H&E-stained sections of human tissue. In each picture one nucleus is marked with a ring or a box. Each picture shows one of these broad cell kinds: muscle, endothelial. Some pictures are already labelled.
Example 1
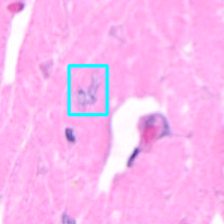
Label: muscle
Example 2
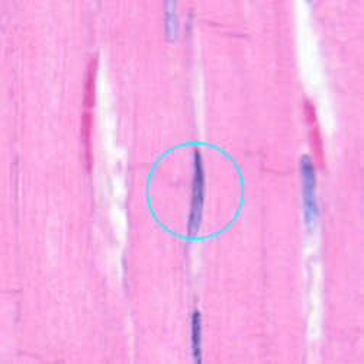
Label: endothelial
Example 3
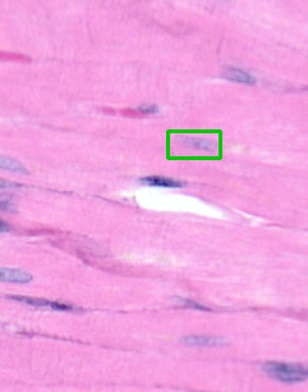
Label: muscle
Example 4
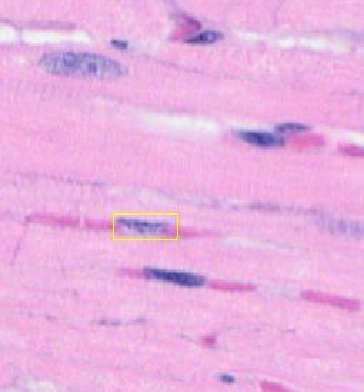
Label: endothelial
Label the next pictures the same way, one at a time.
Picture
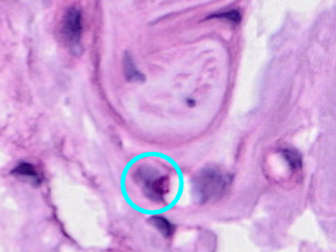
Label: endothelial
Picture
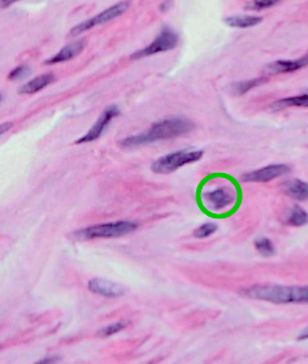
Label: muscle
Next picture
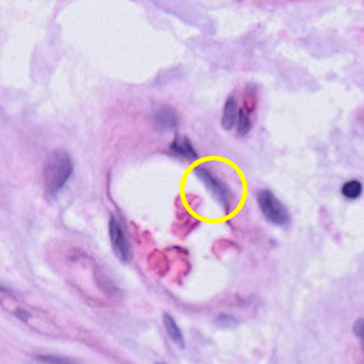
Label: endothelial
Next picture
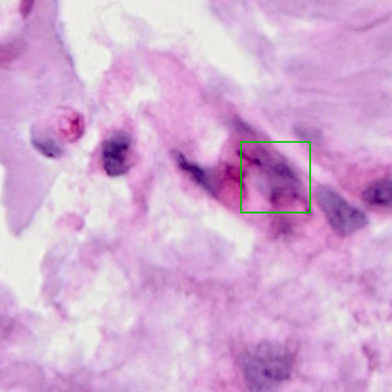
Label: endothelial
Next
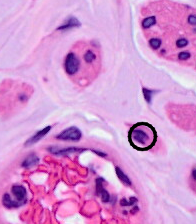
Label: muscle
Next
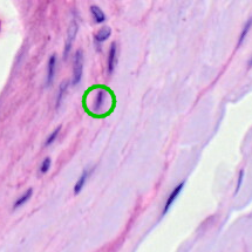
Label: muscle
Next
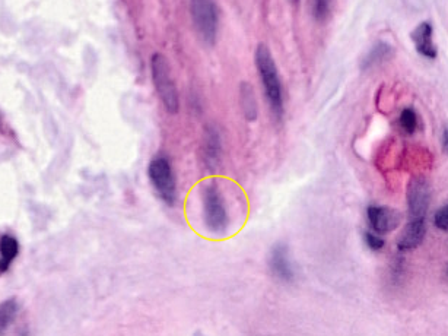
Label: muscle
